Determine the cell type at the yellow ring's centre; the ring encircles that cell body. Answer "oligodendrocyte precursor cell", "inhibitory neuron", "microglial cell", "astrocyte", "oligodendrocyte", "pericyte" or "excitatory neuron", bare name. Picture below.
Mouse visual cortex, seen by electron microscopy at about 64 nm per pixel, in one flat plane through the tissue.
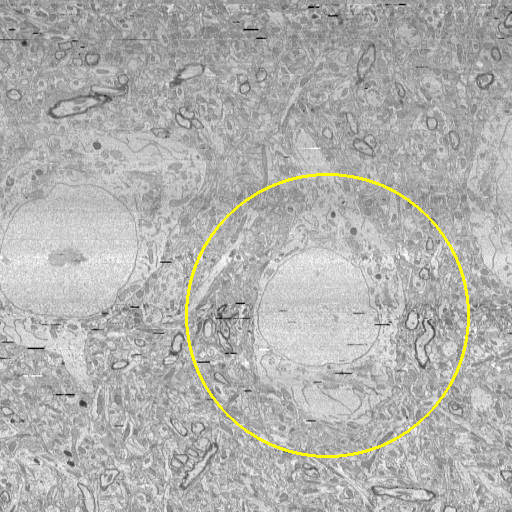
excitatory neuron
